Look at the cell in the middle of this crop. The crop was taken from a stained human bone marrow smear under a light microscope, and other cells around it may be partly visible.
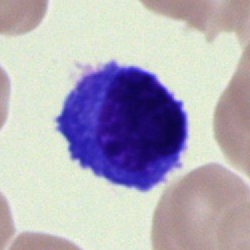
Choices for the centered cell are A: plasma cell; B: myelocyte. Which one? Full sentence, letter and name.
For this crop, option A is right, the centered cell being a plasma cell.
